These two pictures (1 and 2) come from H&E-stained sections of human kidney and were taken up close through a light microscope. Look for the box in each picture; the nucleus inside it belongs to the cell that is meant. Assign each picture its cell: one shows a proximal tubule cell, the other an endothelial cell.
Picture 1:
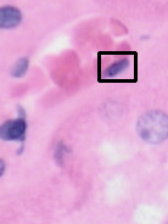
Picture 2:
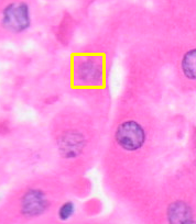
1: endothelial cell
2: proximal tubule cell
